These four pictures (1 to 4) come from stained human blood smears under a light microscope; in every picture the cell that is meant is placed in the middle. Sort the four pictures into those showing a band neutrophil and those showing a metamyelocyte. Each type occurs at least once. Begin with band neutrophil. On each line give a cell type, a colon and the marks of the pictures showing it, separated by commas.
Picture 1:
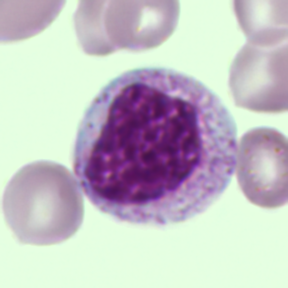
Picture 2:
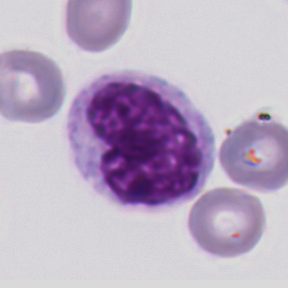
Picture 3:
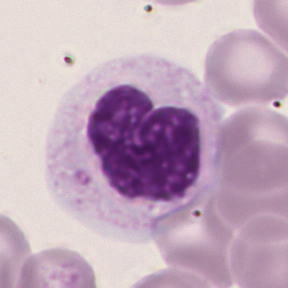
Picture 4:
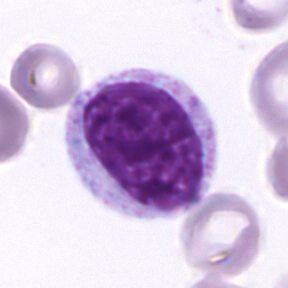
band neutrophil: 2, 3
metamyelocyte: 1, 4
